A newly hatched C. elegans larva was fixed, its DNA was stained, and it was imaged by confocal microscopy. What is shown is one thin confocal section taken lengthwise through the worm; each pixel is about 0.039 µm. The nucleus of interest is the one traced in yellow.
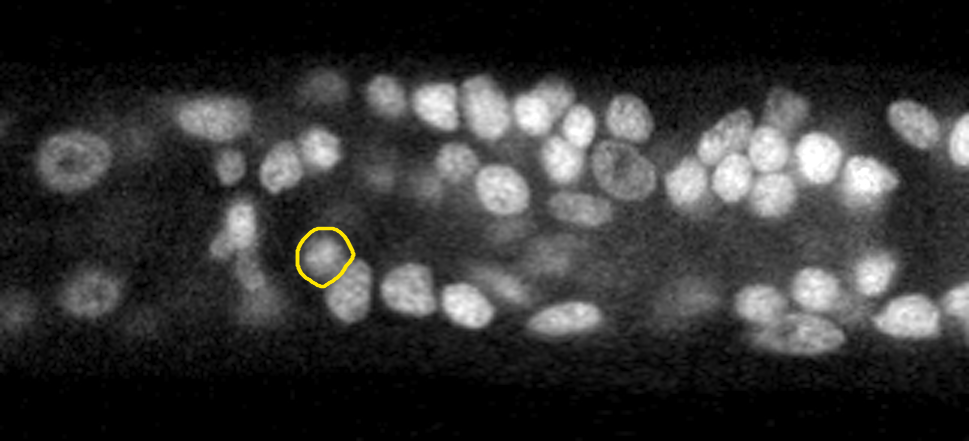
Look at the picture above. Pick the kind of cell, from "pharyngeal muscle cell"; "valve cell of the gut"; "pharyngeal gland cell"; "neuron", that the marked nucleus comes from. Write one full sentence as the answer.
What is marked is the nucleus of a neuron.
